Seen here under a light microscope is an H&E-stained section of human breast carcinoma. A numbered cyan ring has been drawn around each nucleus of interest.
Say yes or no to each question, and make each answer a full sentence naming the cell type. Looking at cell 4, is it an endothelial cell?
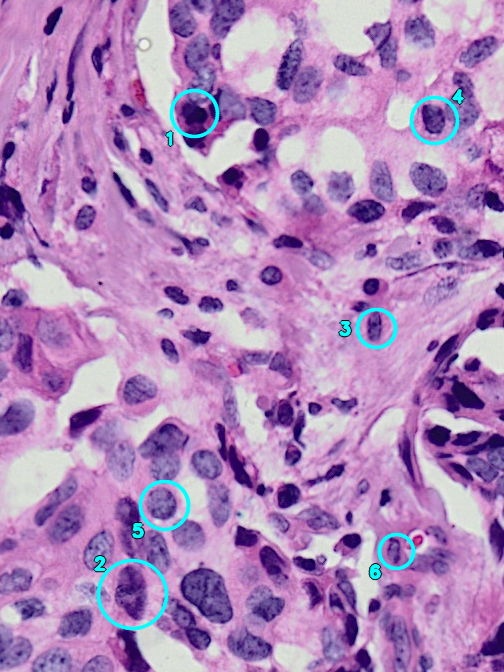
No, the cell indicated by 4 is a carcinoma cell instead of an endothelial cell.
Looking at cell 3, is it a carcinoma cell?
No, the correct answer for cell 3 is a mast cell, not a carcinoma cell.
